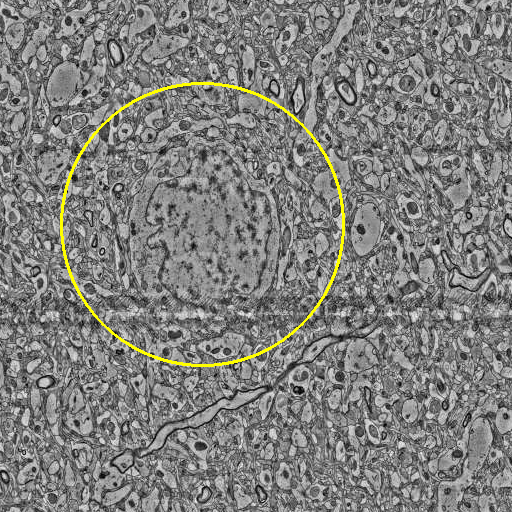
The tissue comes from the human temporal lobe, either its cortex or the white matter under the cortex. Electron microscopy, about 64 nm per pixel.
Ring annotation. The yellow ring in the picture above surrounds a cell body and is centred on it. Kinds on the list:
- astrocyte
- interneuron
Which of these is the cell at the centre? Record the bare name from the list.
interneuron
